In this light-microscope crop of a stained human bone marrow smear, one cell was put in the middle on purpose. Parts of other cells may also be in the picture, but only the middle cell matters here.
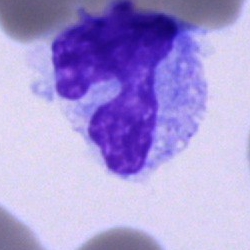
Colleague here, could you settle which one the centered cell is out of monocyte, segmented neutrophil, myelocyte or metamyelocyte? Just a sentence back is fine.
In the middle of this smear crop, the cell is a monocyte.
